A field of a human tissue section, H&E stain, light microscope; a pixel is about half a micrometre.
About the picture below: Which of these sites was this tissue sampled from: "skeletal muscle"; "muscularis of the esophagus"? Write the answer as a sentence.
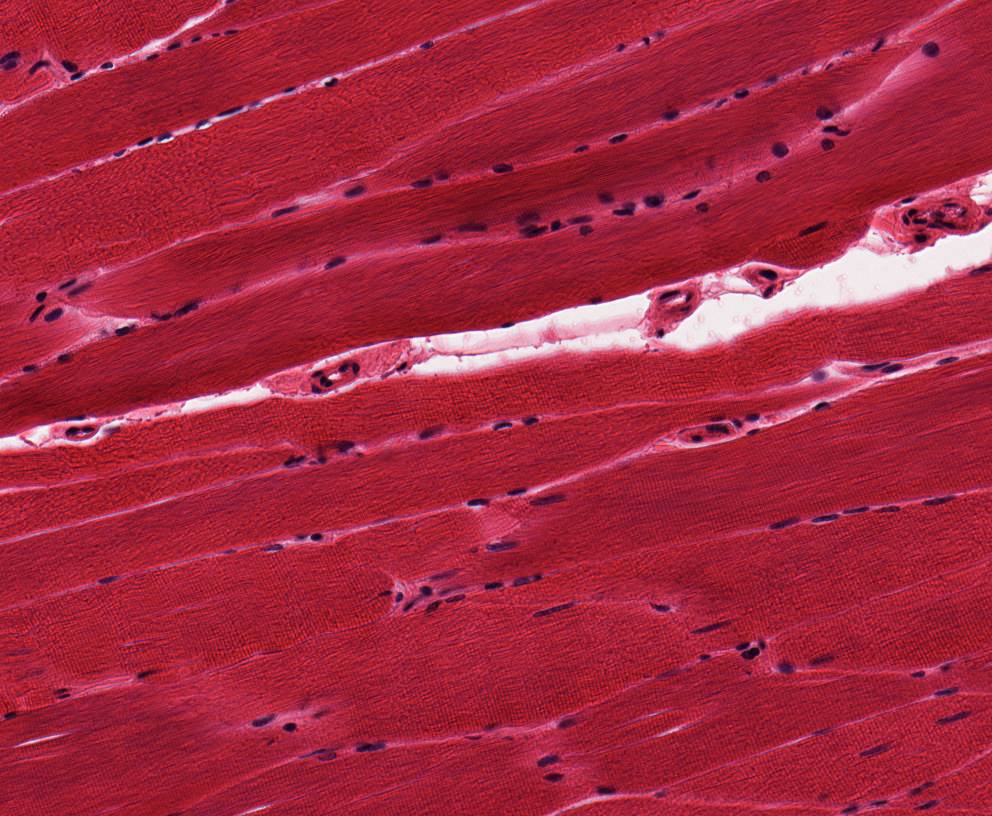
The site this tissue was sampled from is the skeletal muscle.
